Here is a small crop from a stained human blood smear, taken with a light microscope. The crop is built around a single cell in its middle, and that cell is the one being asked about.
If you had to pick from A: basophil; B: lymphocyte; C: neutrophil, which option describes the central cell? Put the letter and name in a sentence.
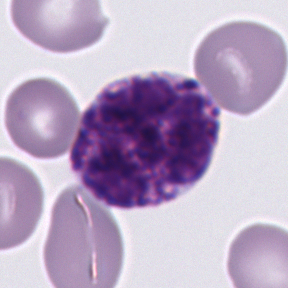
The middle cell of the crop is a basophil; accordingly, option A is correct.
